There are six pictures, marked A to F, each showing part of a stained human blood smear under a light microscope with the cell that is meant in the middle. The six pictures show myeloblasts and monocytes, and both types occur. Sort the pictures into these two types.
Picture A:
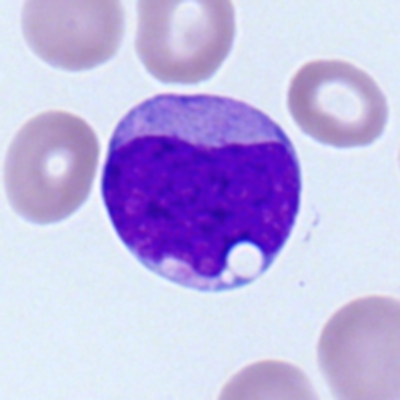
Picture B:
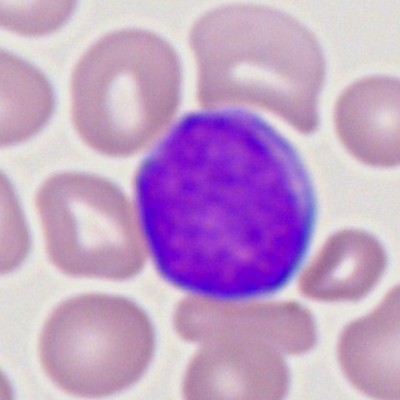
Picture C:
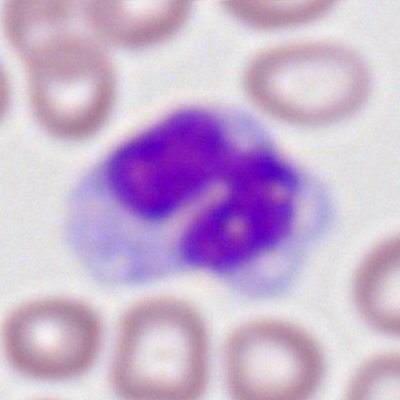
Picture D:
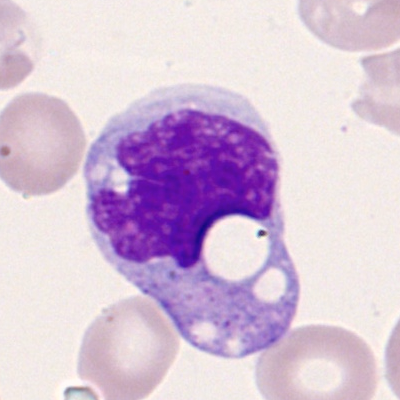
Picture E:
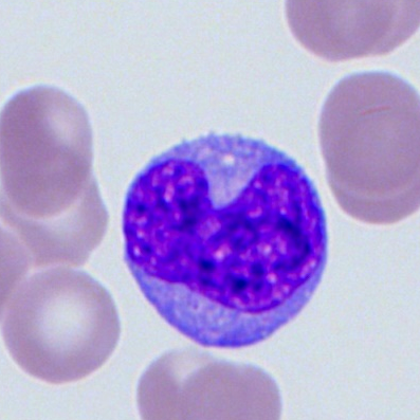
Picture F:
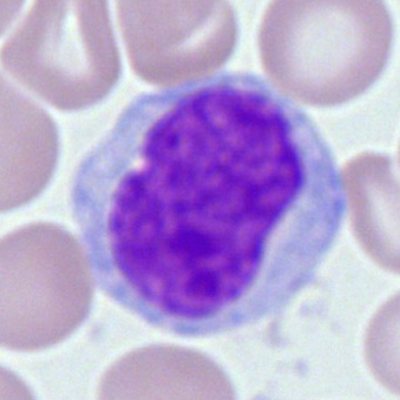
A: myeloblast
B: myeloblast
C: monocyte
D: monocyte
E: monocyte
F: monocyte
